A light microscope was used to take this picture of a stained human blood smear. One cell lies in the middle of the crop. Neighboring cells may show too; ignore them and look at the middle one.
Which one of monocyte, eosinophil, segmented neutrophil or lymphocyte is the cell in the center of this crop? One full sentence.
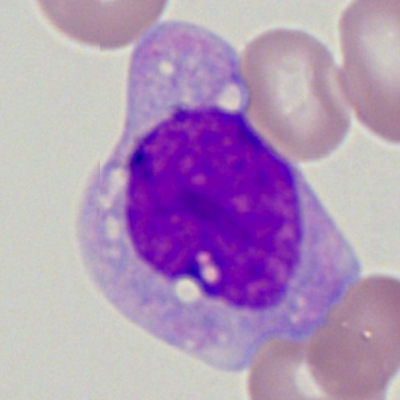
Centred in the crop is a monocyte.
